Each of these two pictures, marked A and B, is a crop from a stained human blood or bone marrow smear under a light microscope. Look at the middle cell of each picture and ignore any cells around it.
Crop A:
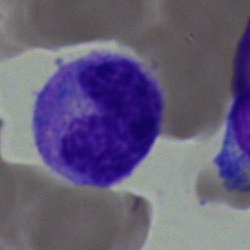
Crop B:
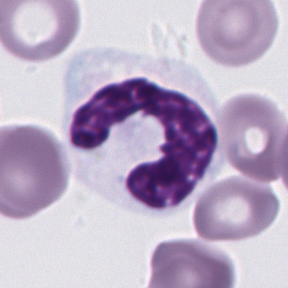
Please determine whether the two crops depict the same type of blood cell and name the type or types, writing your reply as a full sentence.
No, the correct reading is a monocyte in crop A and a band neutrophil in crop B.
